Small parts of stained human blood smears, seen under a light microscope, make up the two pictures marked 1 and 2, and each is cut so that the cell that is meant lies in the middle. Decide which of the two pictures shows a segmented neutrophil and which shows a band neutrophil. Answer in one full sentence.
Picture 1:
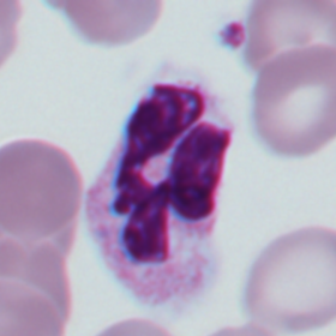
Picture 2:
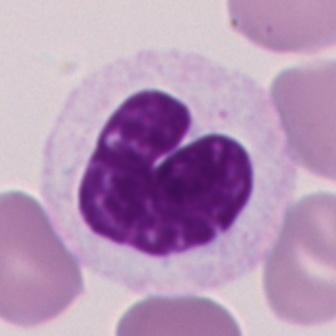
Picture 1 is of a segmented neutrophil, and picture 2 is of a band neutrophil.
